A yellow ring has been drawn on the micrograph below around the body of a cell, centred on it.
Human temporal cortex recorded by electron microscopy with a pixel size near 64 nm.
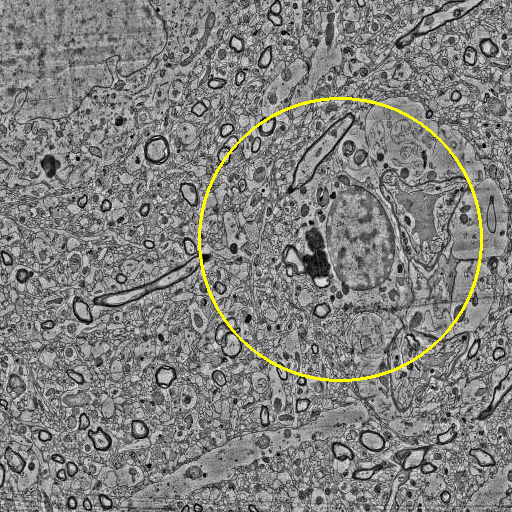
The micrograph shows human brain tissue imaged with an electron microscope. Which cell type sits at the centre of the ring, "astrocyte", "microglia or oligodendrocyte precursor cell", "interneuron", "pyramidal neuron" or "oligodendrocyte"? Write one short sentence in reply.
The cell sitting at the centre of the ring is an oligodendrocyte.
